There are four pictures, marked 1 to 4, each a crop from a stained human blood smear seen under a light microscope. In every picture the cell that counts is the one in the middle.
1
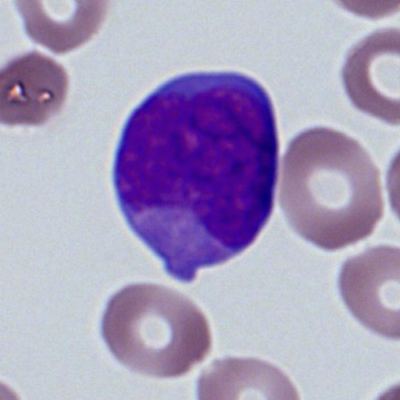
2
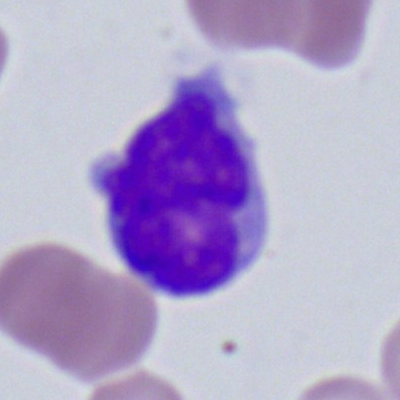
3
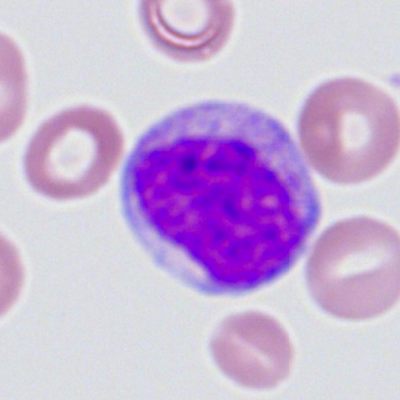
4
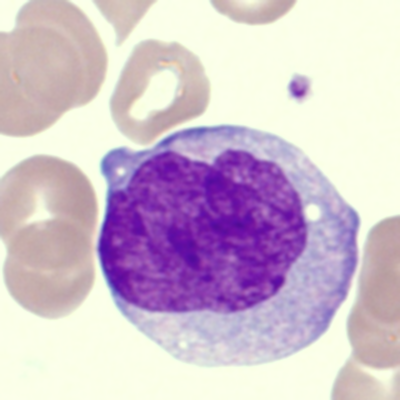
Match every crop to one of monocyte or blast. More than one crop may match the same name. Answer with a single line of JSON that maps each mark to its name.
{"1": "blast", "2": "monocyte", "3": "monocyte", "4": "monocyte"}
